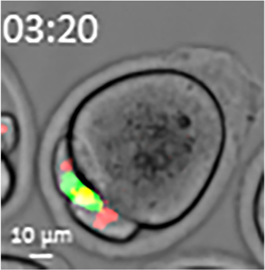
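This is a large, slightly egg-shaped oocyte seen in phase contrast, with fluorescence laid over it. A thin clear layer surrounds the dark cell outline. At the lower left edge there is an elongated, irregular mass of yellow-green fluorescence, where red and green overlap. Separate red blobs lie next to this mass, and together they bulge out at the cell's margin. The cytoplasm of the oocyte is finely granular, with a few darker spots and no fluorescence.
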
